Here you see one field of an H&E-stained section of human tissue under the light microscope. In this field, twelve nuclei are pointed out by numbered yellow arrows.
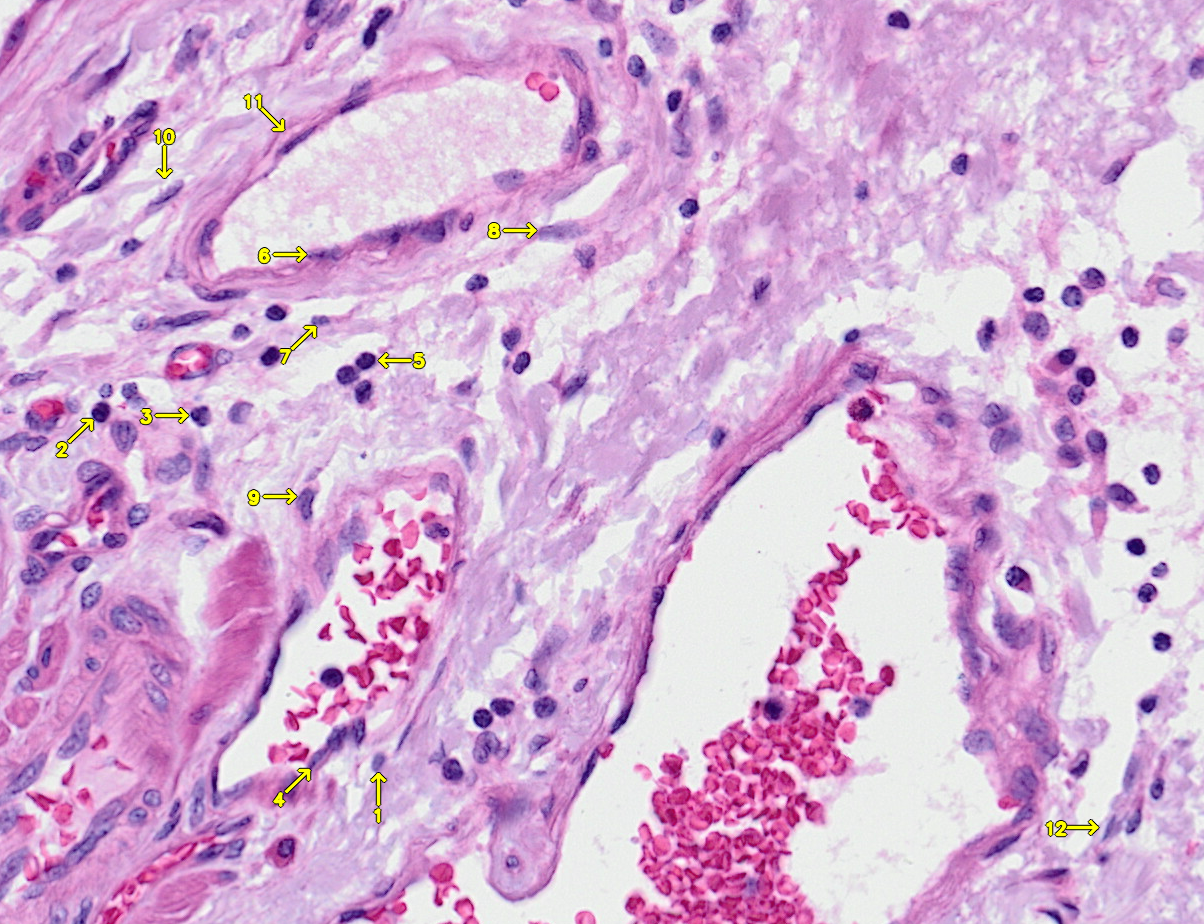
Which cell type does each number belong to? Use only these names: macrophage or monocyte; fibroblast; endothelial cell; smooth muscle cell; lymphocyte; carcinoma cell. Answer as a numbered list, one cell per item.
1. lymphocyte
2. lymphocyte
3. lymphocyte
4. endothelial cell
5. lymphocyte
6. endothelial cell
7. lymphocyte
8. fibroblast
9. macrophage or monocyte
10. fibroblast
11. endothelial cell
12. fibroblast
